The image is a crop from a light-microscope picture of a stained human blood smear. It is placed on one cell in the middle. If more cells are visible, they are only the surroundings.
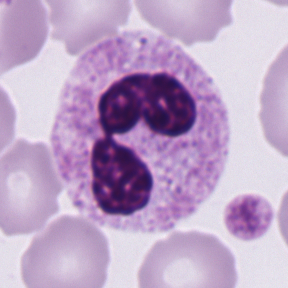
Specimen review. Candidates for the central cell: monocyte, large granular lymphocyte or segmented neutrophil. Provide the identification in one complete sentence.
Regarding the central cell, it is a segmented neutrophil.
